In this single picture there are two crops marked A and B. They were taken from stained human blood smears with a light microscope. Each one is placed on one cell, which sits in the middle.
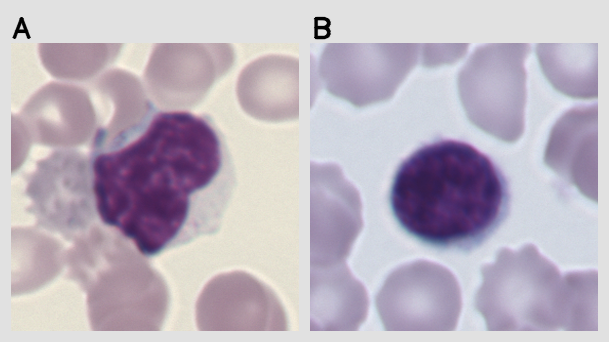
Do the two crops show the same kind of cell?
no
